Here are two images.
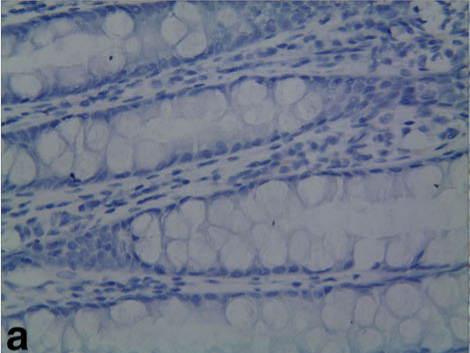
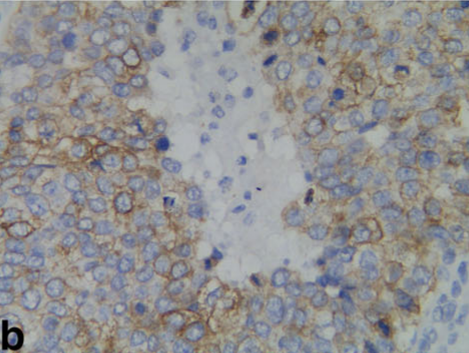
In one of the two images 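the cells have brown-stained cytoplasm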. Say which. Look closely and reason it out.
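Second image: brown stain fills the cytoplasm around many nuclei. First image: the glandular cells and stroma are blue only, with no brown. So: the second image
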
